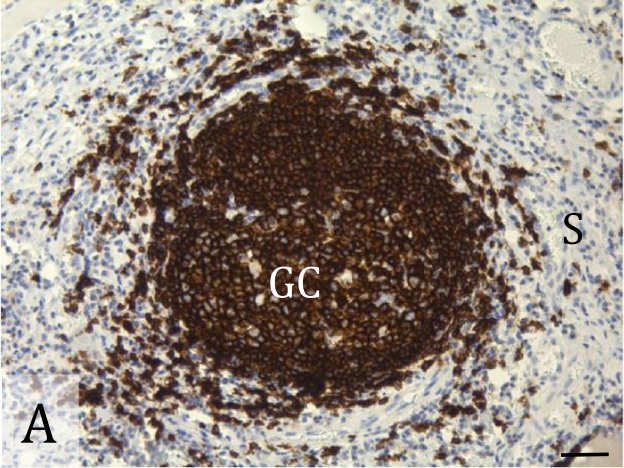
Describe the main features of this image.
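The cells are small and round, tightly packed so that the brown stain fills almost the whole follicle, with only a few small clear spaces. Around the follicle a looser ring of scattered brown lymphocytes extends into the surrounding tissue, mixed with unstained cells whose nuclei are blue. Beyond this, the stroma contains elongated blue spindle-shaped nuclei of connective tissue cells and a few small vessels, and is largely free of brown cells.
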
